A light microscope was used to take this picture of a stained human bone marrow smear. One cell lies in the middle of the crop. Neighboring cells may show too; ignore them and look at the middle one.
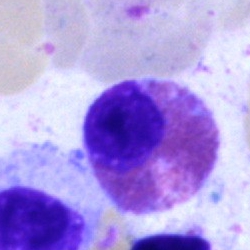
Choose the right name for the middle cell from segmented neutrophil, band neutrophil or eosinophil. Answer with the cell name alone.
eosinophil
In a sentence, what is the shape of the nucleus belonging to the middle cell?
Its nucleus is compact and single, with a round, oval or kidney-shaped form.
